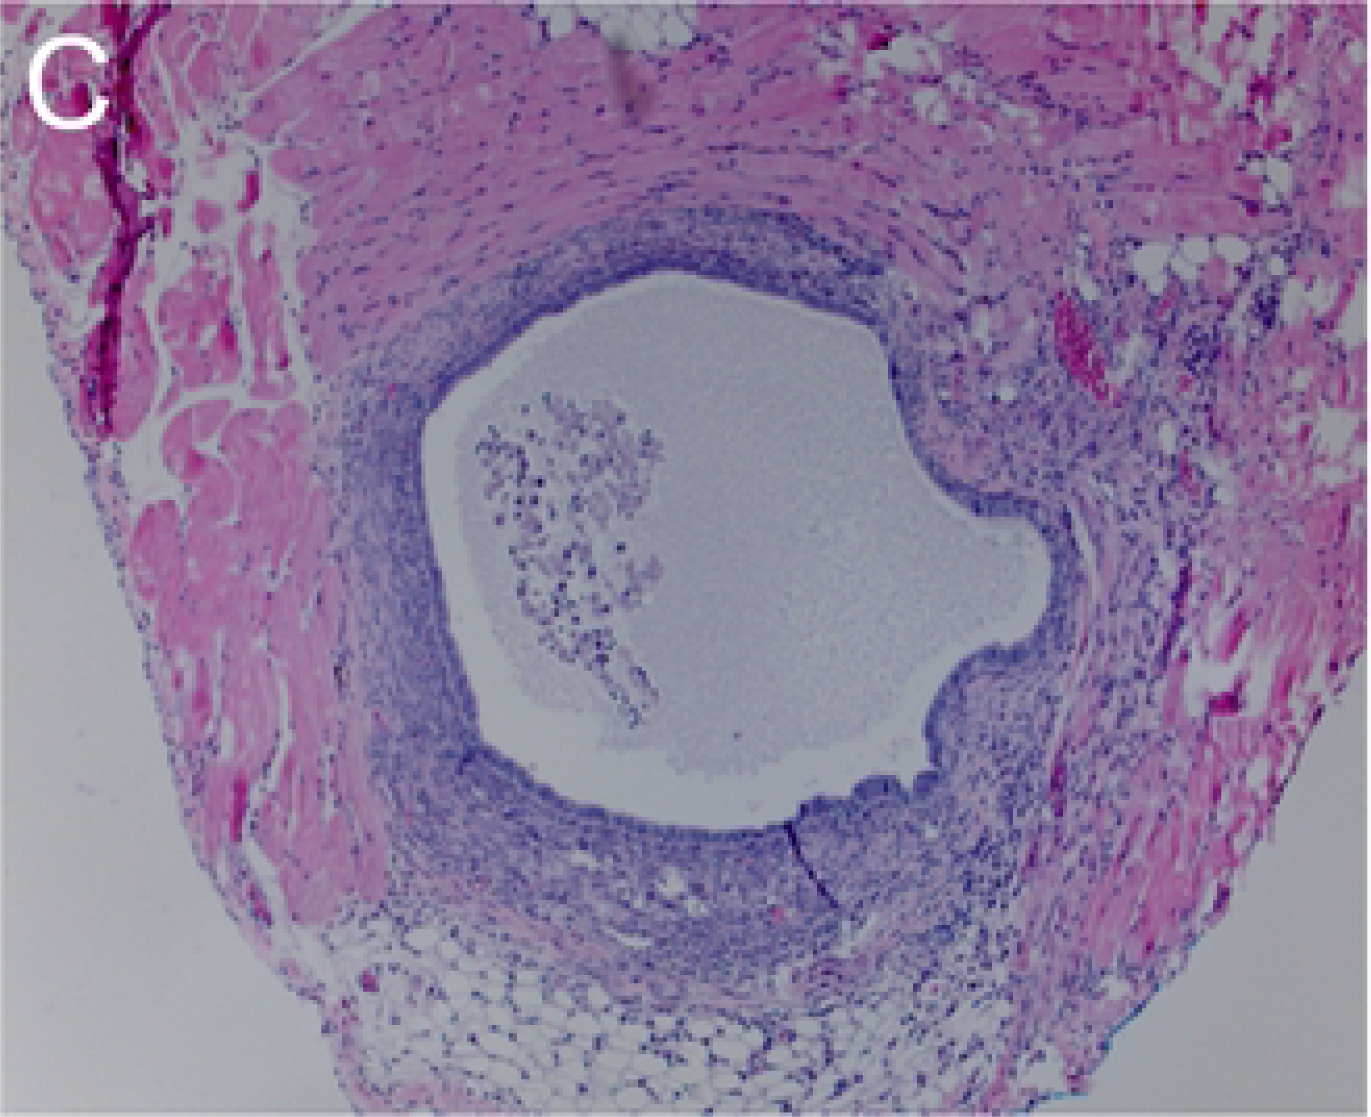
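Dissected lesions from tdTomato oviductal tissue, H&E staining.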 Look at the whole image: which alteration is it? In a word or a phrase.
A: Cystic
